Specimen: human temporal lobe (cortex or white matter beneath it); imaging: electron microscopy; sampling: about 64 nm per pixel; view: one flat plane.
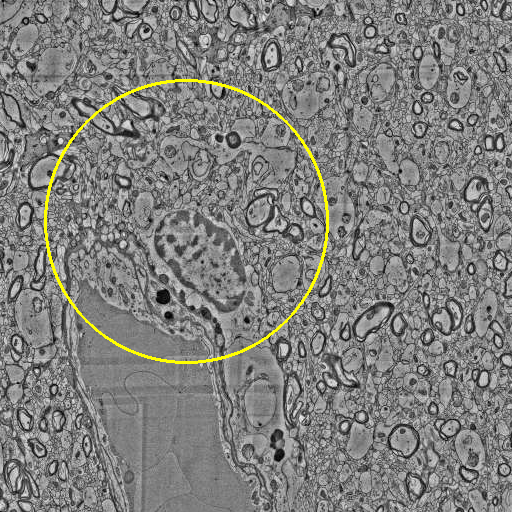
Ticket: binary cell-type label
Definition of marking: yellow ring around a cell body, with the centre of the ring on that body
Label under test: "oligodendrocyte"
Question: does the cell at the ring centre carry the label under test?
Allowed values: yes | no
no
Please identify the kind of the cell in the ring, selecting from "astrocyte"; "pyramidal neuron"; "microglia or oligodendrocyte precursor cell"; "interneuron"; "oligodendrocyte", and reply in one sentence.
The cell at the ring centre is a microglial cell or oligodendrocyte precursor cell.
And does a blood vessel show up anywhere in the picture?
Yes, one shows.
